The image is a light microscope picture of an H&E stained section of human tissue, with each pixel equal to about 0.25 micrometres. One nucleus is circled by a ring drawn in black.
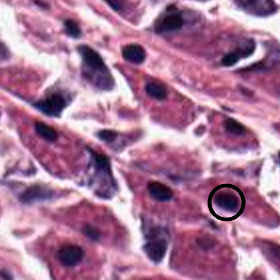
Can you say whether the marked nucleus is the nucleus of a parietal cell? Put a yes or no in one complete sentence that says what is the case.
Yes, it is a parietal cell to which the marked nucleus belongs.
